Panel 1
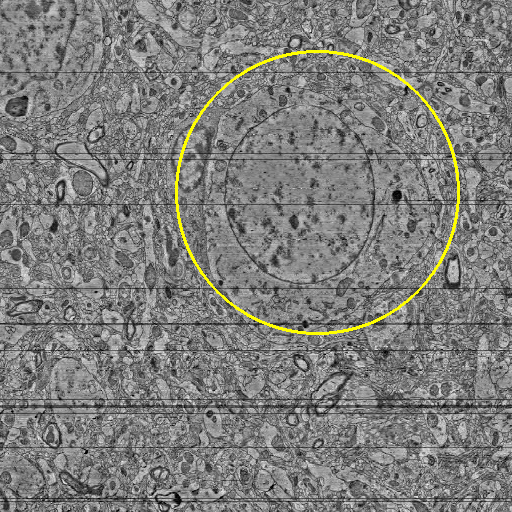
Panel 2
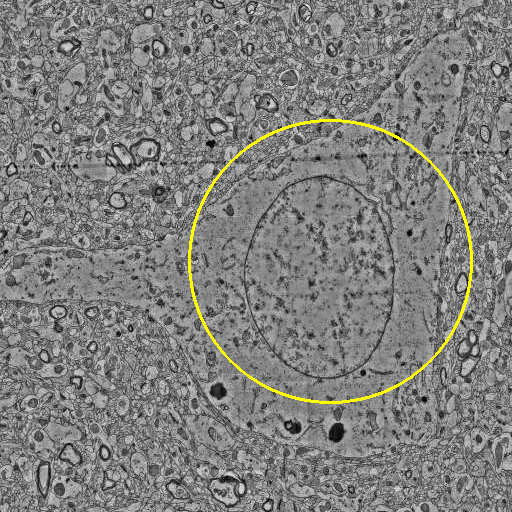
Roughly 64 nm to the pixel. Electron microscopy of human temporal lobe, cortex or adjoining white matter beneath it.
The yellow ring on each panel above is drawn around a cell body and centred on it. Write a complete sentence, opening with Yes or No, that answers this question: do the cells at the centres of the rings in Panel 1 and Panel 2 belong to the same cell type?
Yes, both cells belong to the same cell type.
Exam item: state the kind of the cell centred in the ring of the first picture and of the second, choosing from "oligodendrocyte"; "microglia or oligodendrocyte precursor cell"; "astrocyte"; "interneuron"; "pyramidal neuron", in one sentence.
Both the first and the second picture show a pyramidal neuron in the ring.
